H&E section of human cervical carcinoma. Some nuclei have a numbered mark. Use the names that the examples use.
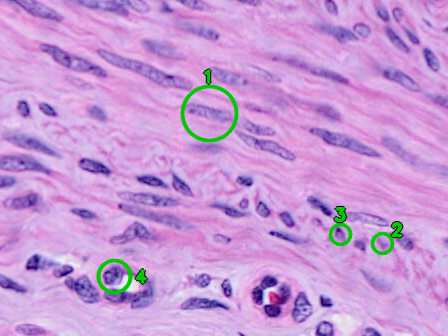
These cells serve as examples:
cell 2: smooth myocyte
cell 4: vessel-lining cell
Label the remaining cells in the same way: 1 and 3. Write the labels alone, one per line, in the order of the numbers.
smooth myocyte
smooth myocyte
